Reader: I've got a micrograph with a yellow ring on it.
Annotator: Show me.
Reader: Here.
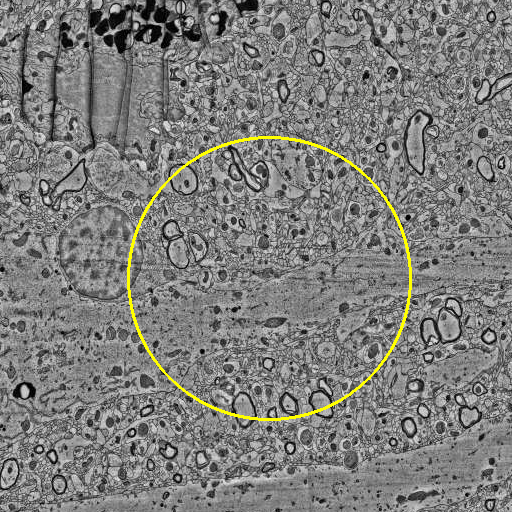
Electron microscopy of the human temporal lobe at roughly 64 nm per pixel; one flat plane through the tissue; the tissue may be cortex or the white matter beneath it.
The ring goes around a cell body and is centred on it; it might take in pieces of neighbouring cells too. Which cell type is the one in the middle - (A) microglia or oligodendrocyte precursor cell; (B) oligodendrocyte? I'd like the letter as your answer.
A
